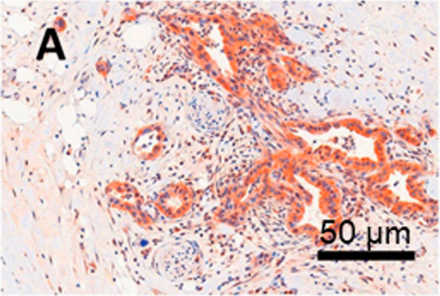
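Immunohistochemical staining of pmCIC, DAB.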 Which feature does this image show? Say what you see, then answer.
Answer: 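Irregular glands with open lumina lined by epithelial cells. The glands lie in a cellular stroma and are stained red-brown.
Hence: cancer glands.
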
